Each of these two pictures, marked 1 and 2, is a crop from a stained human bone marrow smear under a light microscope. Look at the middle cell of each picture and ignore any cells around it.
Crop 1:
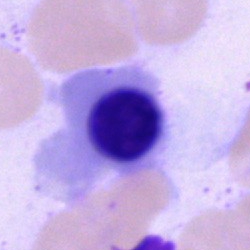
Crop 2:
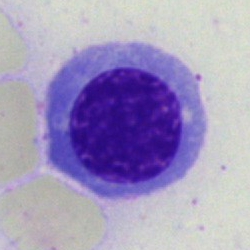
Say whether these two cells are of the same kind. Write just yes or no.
yes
